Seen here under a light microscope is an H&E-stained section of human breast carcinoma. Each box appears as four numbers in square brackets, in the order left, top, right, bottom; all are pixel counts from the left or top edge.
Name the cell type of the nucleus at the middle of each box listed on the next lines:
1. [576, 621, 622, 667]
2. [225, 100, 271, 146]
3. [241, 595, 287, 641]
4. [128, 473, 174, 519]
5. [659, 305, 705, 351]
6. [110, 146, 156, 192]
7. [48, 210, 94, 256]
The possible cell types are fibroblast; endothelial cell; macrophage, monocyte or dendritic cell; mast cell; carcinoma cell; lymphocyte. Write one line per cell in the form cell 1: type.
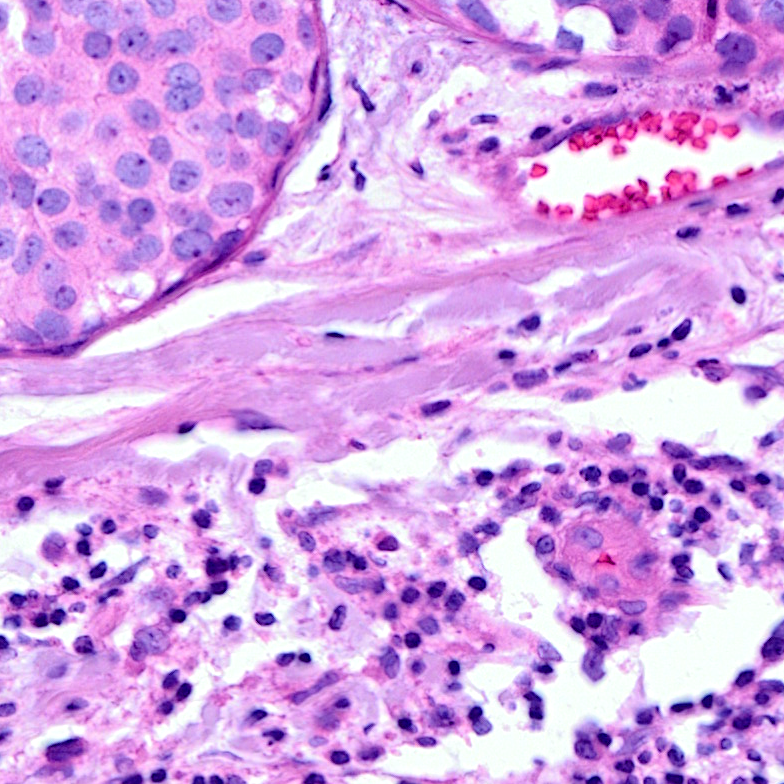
cell 1: lymphocyte
cell 2: carcinoma cell
cell 3: lymphocyte
cell 4: fibroblast
cell 5: lymphocyte
cell 6: carcinoma cell
cell 7: carcinoma cell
